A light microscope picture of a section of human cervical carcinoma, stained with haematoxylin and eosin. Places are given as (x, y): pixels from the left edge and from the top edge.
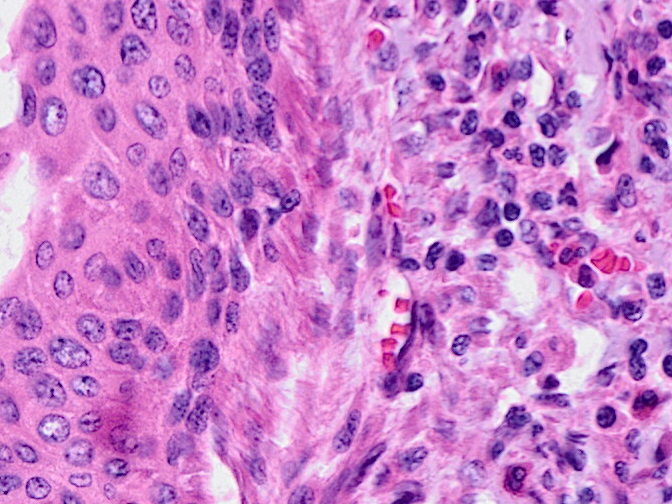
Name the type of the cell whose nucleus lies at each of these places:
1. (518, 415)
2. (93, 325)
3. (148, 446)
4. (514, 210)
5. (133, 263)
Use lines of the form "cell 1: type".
cell 1: lymphocyte
cell 2: squamous carcinoma cell
cell 3: squamous carcinoma cell
cell 4: lymphocyte
cell 5: squamous carcinoma cell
